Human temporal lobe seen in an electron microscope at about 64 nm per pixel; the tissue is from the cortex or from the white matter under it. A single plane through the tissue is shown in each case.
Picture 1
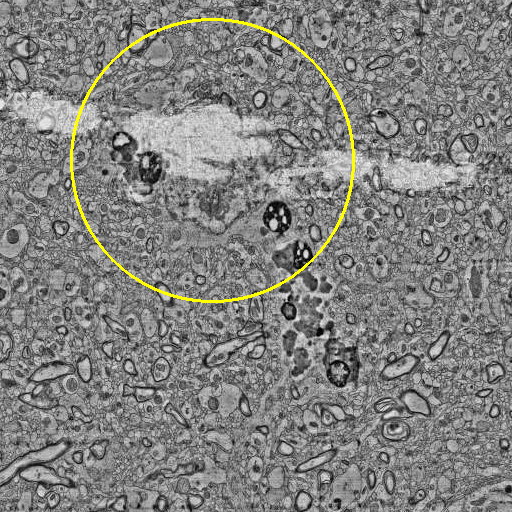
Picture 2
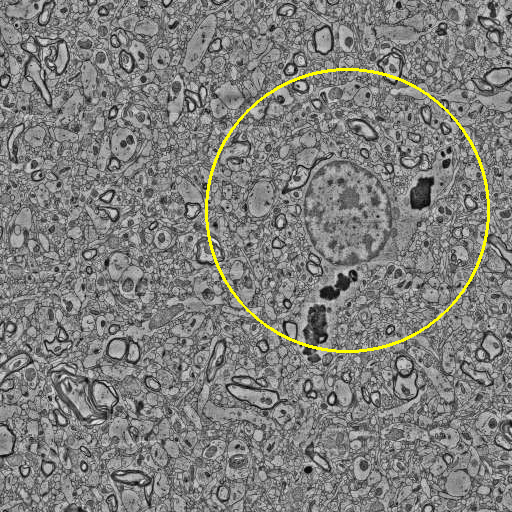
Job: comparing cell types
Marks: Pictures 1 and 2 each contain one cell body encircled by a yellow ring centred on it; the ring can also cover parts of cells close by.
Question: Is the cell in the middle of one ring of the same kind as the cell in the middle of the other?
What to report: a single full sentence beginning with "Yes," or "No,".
No, the cell at the ring centre in Picture 1 and its partner in Picture 2 are of two kinds.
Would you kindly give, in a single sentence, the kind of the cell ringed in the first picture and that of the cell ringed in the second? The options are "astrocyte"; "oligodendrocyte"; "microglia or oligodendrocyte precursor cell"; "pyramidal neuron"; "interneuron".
The second cell is an oligodendrocyte, and the first cell is an astrocyte.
